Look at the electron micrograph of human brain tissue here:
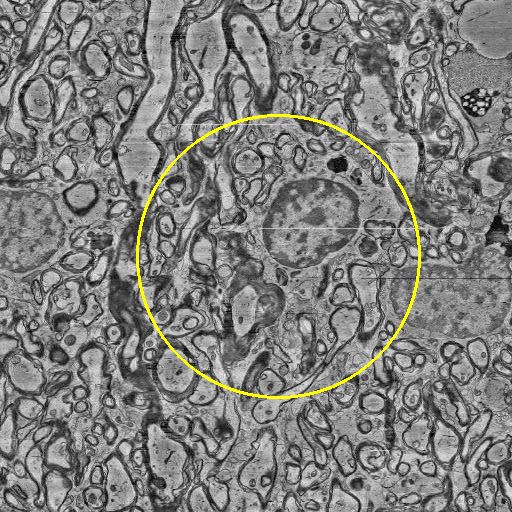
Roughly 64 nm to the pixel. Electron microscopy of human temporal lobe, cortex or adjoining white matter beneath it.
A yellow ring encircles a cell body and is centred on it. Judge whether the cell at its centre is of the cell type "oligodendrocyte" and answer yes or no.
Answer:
no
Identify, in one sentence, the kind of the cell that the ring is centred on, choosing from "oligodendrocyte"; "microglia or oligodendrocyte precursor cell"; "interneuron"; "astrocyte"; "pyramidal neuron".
Instead, the ring surrounds a microglial cell or oligodendrocyte precursor cell in this picture.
